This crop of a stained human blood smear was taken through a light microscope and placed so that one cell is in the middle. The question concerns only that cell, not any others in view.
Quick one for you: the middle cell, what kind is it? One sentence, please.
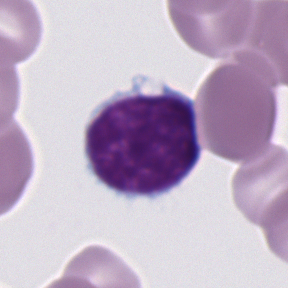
Located at the centre of the crop is a typical lymphocyte.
